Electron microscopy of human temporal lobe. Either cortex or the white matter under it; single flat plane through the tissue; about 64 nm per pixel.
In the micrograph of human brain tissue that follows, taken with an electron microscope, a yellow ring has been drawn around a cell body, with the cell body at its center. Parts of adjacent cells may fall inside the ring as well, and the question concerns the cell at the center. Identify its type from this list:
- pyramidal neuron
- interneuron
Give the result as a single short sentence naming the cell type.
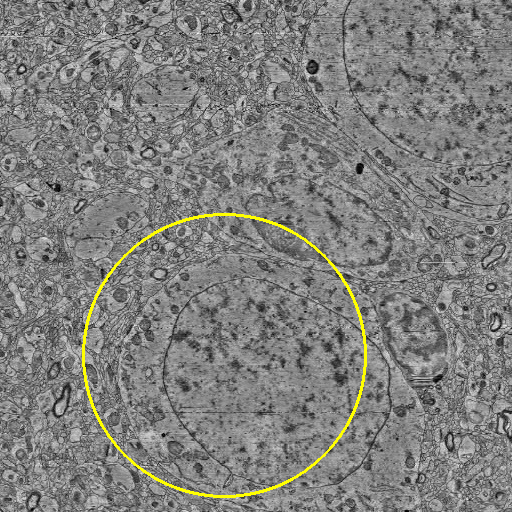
The ring is centered on a pyramidal neuron.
